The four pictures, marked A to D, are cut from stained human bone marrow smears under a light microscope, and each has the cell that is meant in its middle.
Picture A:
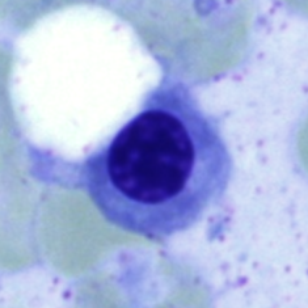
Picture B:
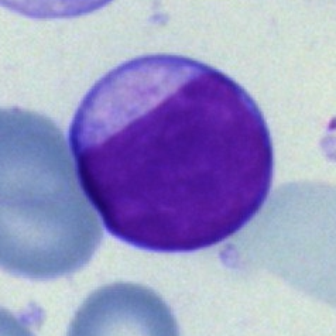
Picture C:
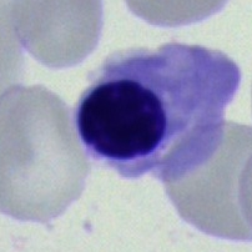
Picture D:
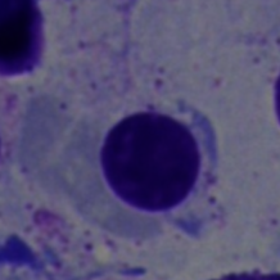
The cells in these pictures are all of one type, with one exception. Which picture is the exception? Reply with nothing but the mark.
B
